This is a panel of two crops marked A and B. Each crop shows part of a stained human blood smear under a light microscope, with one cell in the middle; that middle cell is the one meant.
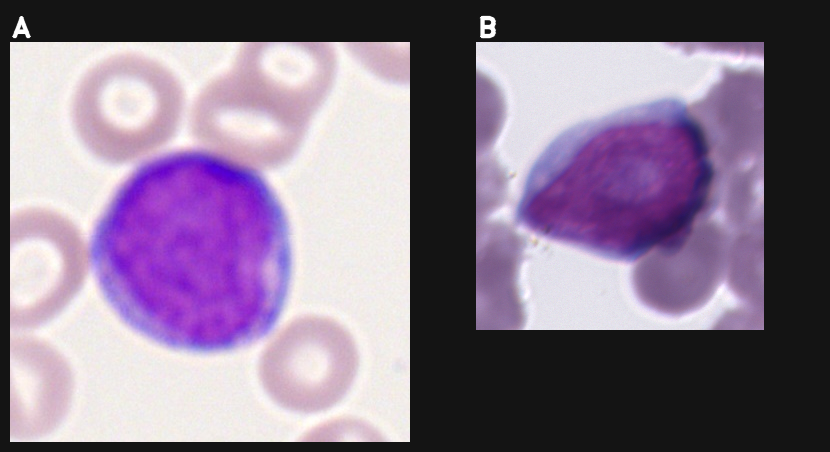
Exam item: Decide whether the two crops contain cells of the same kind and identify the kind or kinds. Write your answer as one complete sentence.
Yes, both crops show blasts, and the two match.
